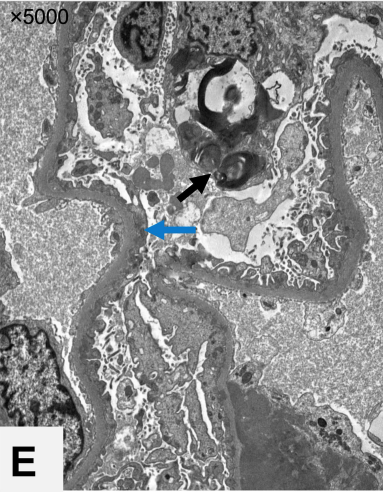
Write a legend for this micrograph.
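This electron micrograph shows a glomerular capillary loop with its grey basement membrane winding through the field, pale flocculent lumen contents on either side, and overlying podocyte cytoplasm with foot processes. In one podocyte lie dark, concentrically lamellated whorled bodies, myeloid bodies, marked by an arrow. Nuclei with clumped chromatin appear at the edges of the field.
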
